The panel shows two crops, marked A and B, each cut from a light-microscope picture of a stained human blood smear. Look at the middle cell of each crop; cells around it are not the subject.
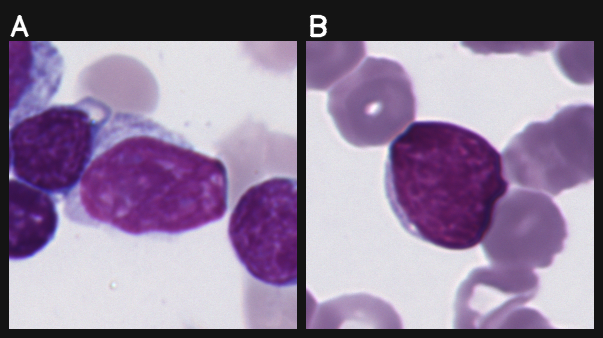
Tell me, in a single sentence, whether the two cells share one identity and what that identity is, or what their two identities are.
Yes, both crops show myeloblasts, one in each.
